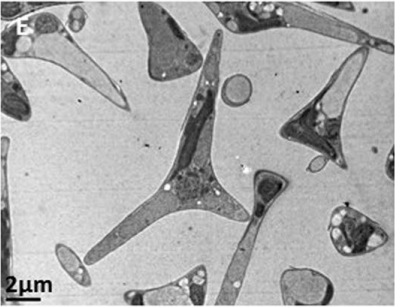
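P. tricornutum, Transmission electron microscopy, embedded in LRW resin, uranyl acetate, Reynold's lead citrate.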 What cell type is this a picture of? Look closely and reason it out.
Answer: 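Triradiate morphotype. Cell sections with three arms radiating from a centre.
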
